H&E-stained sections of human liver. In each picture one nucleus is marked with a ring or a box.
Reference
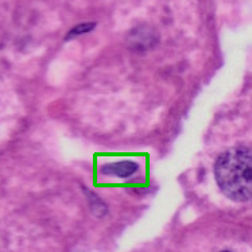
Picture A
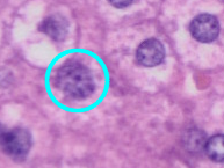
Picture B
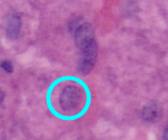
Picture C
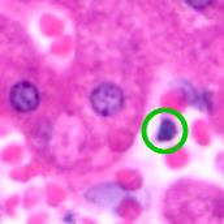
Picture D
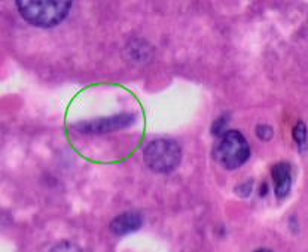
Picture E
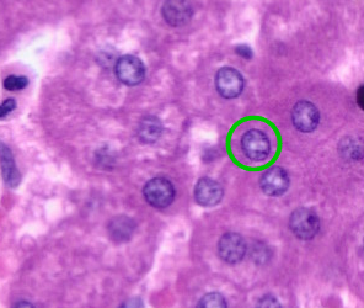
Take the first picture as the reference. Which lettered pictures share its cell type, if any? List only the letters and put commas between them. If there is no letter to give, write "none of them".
C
